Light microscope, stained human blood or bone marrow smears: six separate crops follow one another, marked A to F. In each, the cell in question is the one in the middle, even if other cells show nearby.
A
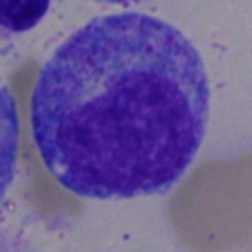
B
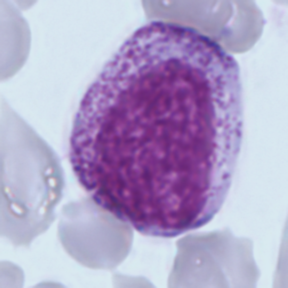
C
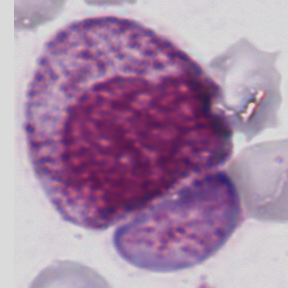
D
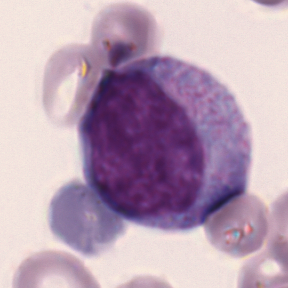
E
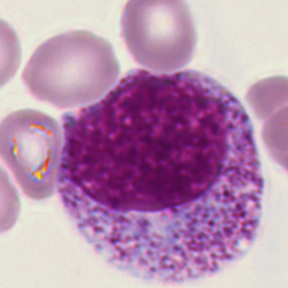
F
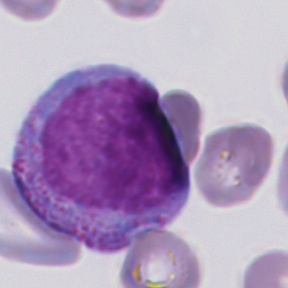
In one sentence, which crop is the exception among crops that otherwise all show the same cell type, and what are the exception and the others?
The others are all promyelocytes; crop C is a myelocyte.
